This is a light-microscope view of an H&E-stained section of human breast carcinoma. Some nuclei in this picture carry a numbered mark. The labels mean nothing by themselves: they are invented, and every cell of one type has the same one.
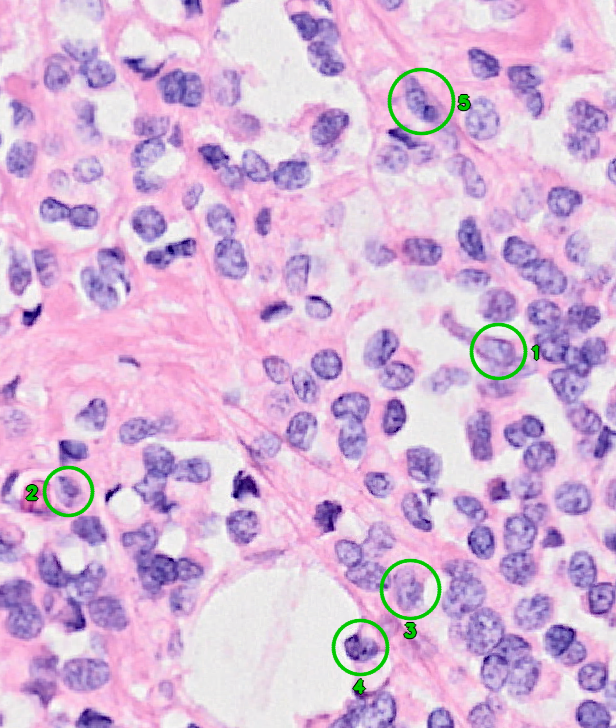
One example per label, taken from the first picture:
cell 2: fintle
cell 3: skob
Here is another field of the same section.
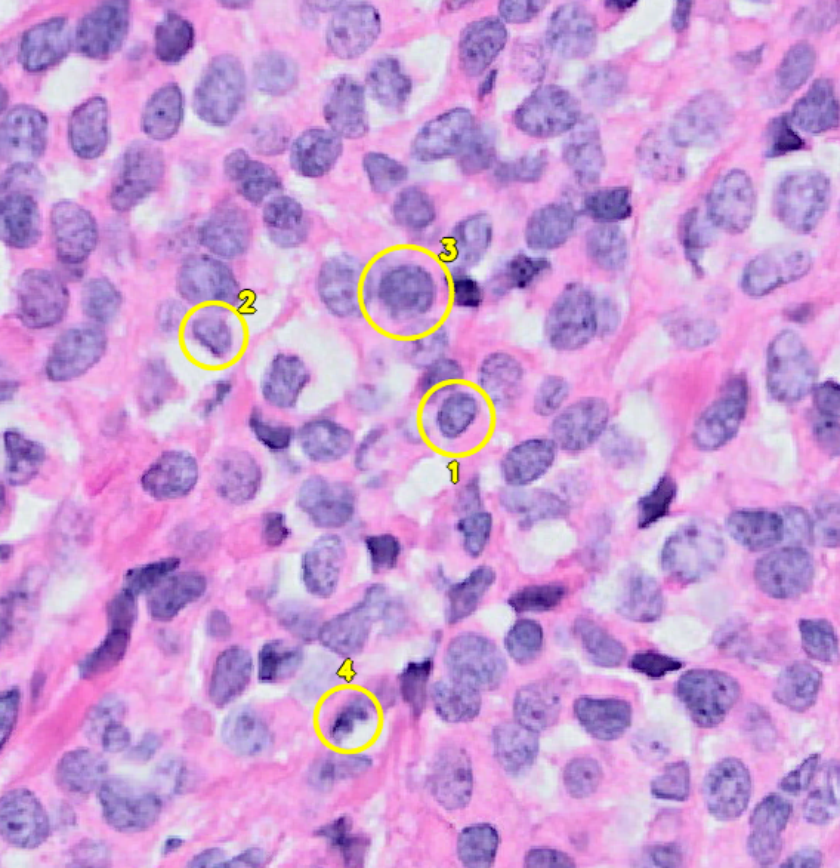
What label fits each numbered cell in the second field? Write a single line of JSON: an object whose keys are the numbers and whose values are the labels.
{"1": "skob", "2": "skob", "3": "skob", "4": "fintle"}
